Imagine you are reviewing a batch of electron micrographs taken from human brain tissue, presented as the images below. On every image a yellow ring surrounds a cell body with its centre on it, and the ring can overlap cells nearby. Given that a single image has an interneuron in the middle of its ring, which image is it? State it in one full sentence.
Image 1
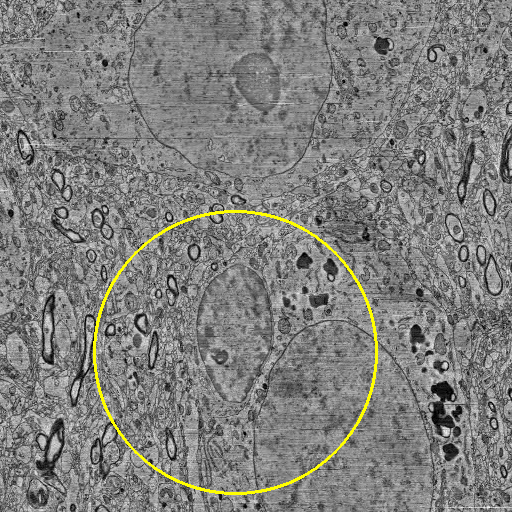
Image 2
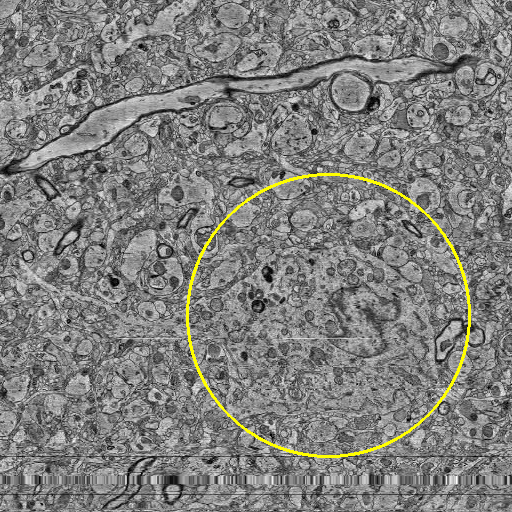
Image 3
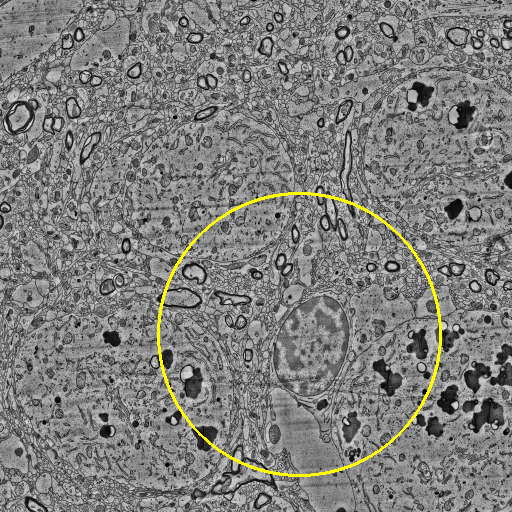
Of all the images, number 2 has the described cell at the centre of its ring.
